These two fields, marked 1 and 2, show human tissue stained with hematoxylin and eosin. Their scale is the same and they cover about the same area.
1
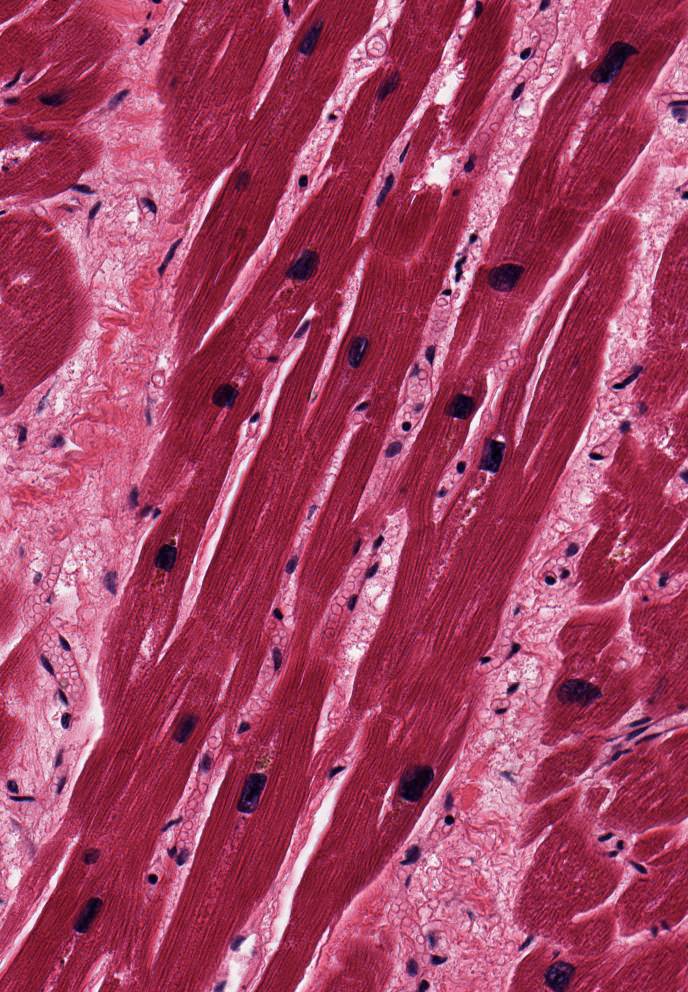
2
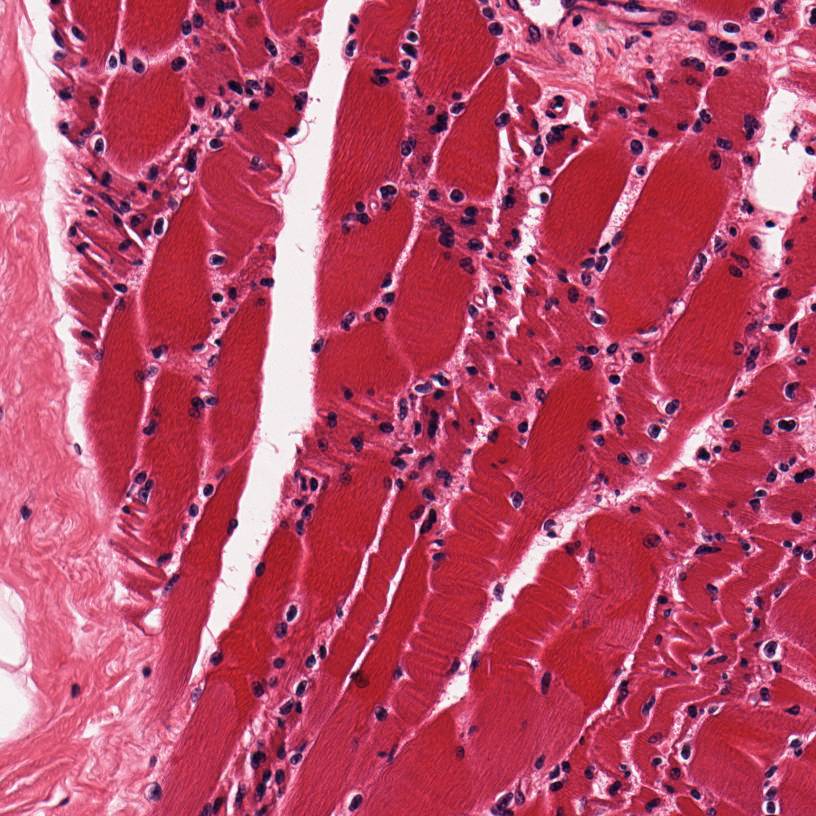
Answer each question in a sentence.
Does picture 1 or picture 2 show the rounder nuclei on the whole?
The nuclei are rounder in picture 2.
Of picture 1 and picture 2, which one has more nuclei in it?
It is picture 2 that has more nuclei in it.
